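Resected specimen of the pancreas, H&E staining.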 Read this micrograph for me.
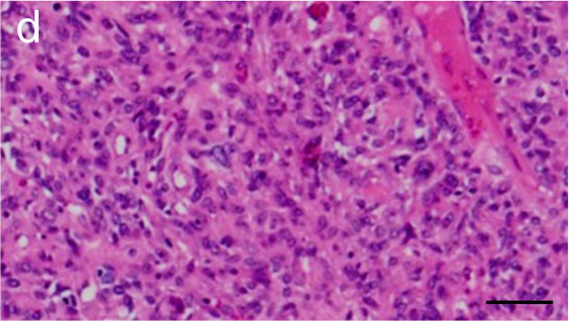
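A cellular tumour made of oval and spindle-shaped cells growing in patternless sheets, their nuclei dark purple and oval to elongated within pink cytoplasm with indistinct borders. A band of pink collagen crosses the upper right.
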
